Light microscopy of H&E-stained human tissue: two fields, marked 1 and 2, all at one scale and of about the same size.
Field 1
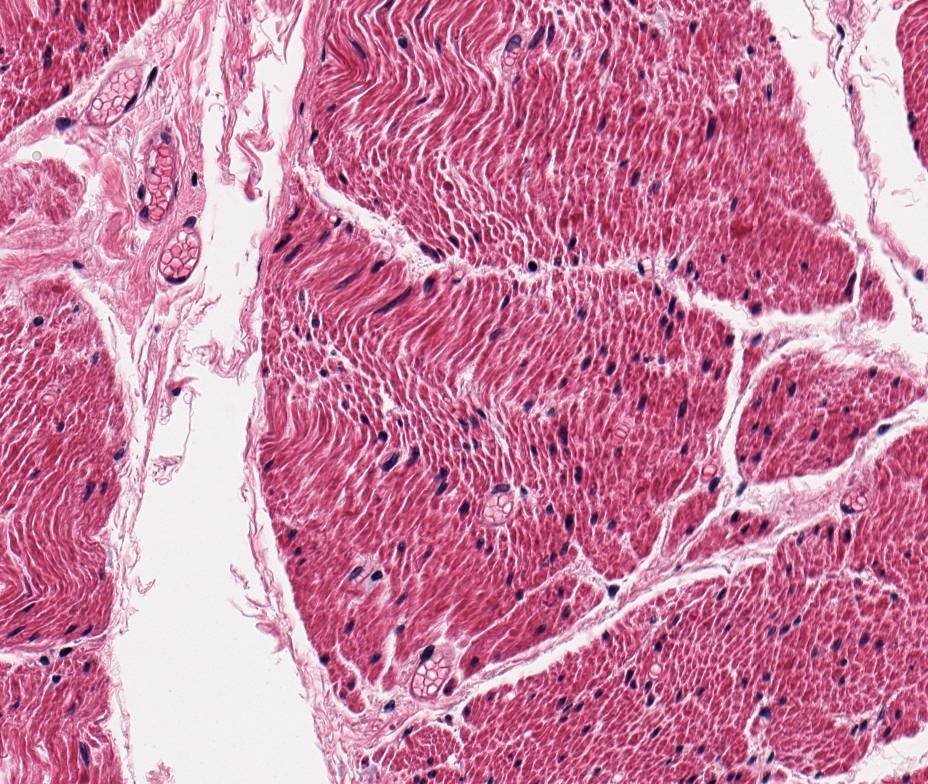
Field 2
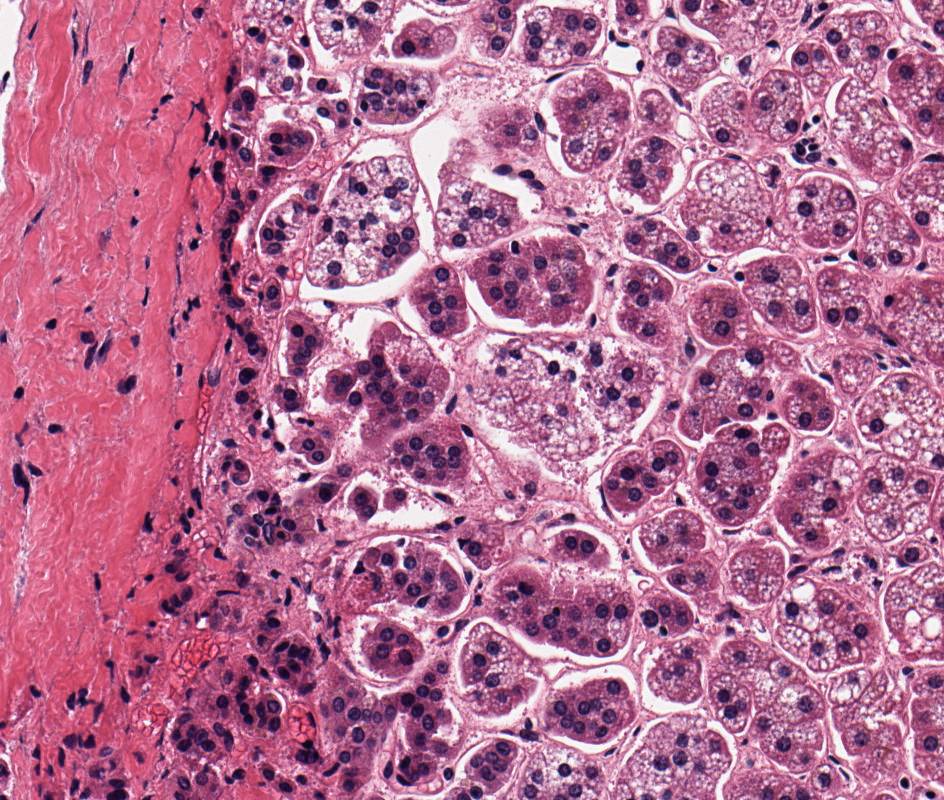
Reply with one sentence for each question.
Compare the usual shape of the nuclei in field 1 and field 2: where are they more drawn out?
On the whole the nuclei of field 1 are more drawn out than those of field 2.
